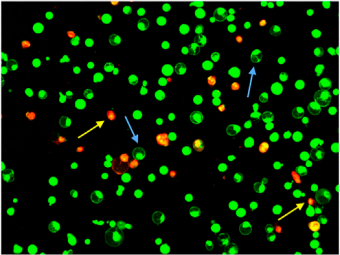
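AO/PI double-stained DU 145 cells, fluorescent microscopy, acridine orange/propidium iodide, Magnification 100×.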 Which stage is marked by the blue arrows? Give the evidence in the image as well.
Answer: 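The marked cells are green with bright condensed spots inside.
Hence: early apoptotic cells.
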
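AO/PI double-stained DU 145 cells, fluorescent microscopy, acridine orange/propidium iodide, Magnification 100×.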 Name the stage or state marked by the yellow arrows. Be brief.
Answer: Late apoptosis cells.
